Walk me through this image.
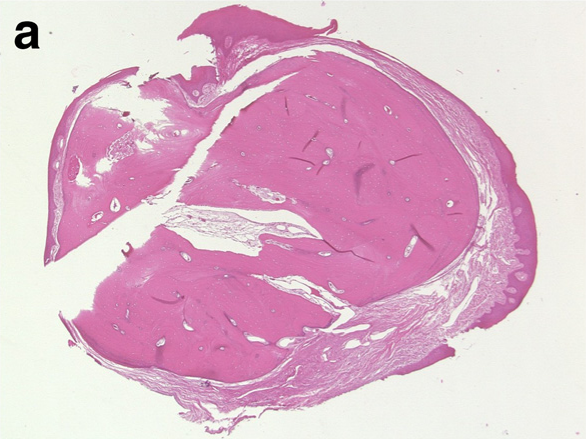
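At low magnification a rounded nodule of mature bone fills most of the section. The dense pink bone matrix contains scattered small canals and lacunae and is split by a few clefts. A rim of pale fibrous stroma surrounds the nodule, and along its right-hand surface a thin layered epithelium lines the tissue.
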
